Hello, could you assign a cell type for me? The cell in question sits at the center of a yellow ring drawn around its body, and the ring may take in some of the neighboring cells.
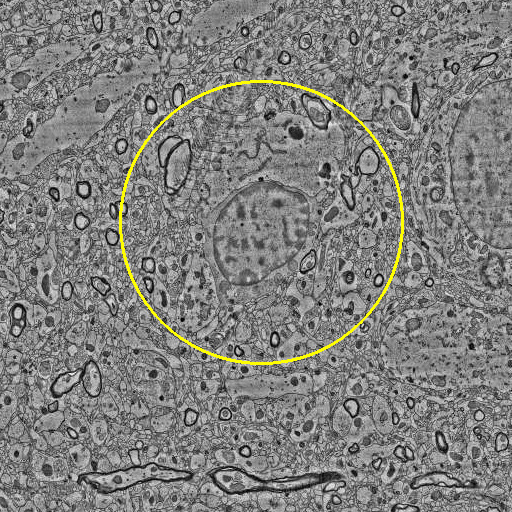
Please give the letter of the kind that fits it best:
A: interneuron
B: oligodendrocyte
B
